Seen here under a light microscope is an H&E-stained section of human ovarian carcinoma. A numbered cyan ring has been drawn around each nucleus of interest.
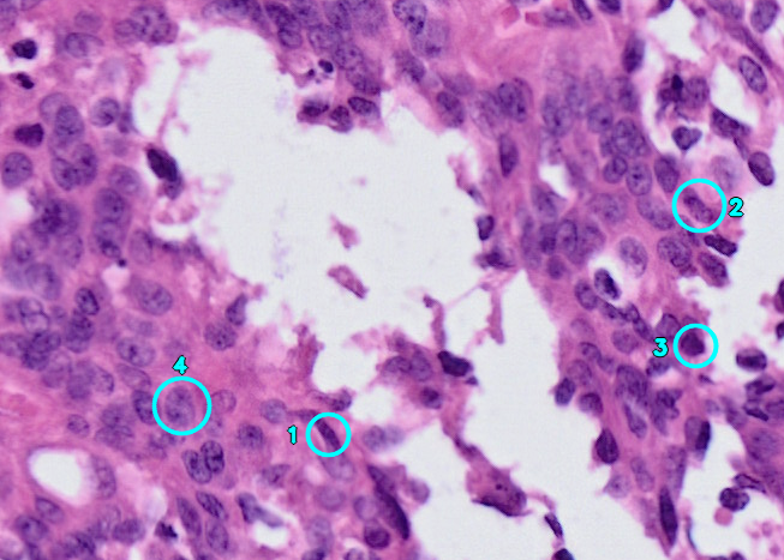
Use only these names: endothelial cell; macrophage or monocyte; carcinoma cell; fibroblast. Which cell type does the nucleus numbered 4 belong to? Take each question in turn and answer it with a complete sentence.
The cell indicated with the number 4 is classed as a carcinoma cell.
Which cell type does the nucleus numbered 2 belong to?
In this section, number 2 marks a carcinoma cell.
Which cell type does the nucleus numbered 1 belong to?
In the marked set, the cell given number 1 is an endothelial cell.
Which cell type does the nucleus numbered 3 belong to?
The nucleus labeled 3 belongs to a carcinoma cell.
